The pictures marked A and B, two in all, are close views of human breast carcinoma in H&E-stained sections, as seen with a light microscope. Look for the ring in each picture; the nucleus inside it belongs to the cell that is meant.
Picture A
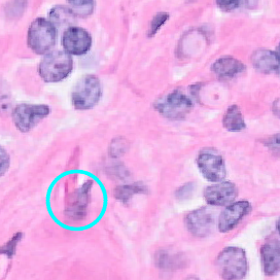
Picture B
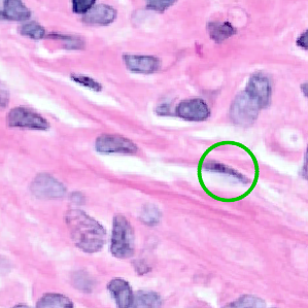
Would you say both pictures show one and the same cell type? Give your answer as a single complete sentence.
No, picture A shows an endothelial cell and picture B shows a fibroblast.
